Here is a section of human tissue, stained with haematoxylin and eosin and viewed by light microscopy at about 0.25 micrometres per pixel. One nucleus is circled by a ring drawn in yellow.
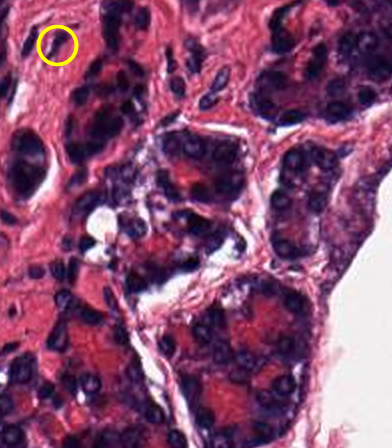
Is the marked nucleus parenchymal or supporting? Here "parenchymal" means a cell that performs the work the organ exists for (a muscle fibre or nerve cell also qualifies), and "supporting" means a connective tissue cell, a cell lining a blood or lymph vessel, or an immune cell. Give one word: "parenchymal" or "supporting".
supporting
